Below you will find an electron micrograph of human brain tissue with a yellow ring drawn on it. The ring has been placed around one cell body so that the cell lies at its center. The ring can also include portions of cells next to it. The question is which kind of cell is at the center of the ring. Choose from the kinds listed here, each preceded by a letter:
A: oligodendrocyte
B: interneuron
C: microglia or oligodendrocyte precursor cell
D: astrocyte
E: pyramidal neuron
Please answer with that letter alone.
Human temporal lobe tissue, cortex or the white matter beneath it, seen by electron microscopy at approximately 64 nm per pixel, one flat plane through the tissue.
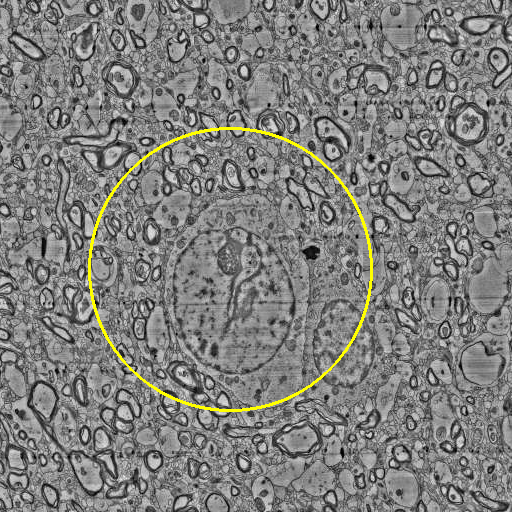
B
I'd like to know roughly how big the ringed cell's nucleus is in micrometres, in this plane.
The nucleus comes to roughly 9 by 8 micrometres in this plane.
